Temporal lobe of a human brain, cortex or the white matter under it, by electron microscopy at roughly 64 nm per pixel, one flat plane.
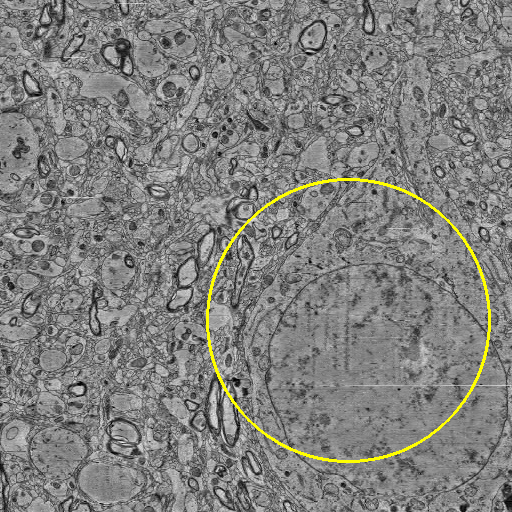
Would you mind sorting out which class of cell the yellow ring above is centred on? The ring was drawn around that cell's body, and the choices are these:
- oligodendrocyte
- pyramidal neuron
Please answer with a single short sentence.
This is the cell body of a pyramidal neuron.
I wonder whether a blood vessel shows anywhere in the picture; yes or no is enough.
No, no vessel appears in the picture.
